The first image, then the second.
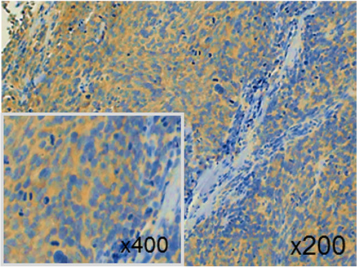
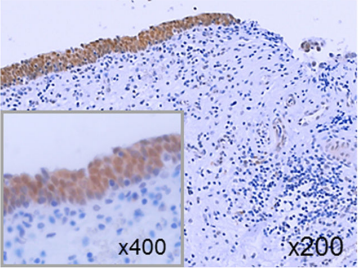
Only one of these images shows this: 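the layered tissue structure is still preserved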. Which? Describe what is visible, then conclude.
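The second image. First image: crowded sheets of cells fill the field without an orderly layer. Second image: a distinct surface layer of brown-stained cells lies over looser tissue with scattered blue nuclei.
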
